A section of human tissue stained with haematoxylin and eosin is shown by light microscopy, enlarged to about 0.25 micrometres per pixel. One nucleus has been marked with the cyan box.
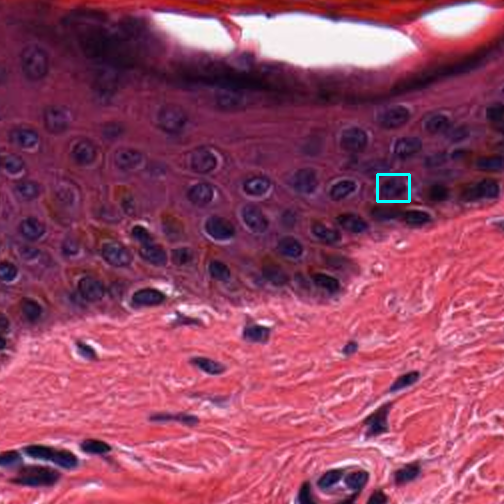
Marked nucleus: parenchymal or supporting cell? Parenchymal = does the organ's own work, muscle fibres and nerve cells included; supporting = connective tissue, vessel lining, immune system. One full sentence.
It is to a keratinocyte, a parenchymal cell, that the marked nucleus belongs.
